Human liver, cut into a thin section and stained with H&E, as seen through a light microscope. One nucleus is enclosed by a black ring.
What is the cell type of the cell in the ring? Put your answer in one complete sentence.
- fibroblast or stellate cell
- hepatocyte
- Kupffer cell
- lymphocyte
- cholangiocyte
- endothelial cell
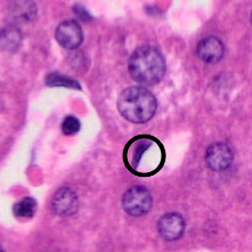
In this section, the cell in the ring is an endothelial cell.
